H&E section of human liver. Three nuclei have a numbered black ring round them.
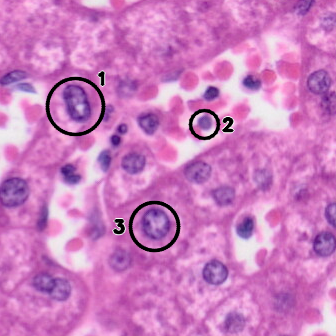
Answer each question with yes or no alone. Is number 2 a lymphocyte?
yes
